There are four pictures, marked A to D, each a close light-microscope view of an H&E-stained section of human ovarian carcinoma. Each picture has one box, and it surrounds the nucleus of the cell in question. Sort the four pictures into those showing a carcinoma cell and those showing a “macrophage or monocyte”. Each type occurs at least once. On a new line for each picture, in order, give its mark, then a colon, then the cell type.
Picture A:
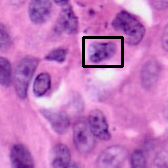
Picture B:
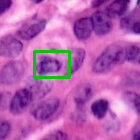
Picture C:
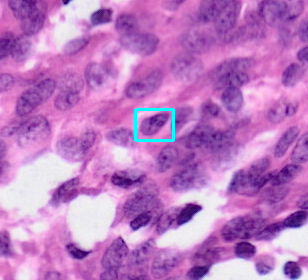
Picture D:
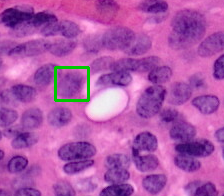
A: macrophage or monocyte
B: macrophage or monocyte
C: macrophage or monocyte
D: carcinoma cell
